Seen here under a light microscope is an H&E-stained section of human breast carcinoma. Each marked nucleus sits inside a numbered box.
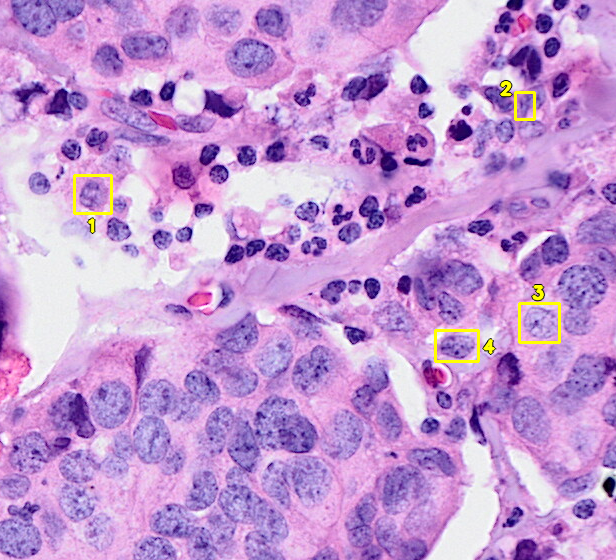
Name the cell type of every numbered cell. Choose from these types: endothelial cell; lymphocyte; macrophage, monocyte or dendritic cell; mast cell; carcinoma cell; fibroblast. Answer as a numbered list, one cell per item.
1. macrophage, monocyte or dendritic cell
2. endothelial cell
3. carcinoma cell
4. macrophage, monocyte or dendritic cell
